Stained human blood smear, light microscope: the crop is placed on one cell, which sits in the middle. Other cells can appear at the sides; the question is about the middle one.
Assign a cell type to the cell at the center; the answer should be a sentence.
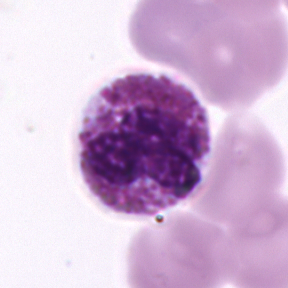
What the crop centres on is an eosinophil.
